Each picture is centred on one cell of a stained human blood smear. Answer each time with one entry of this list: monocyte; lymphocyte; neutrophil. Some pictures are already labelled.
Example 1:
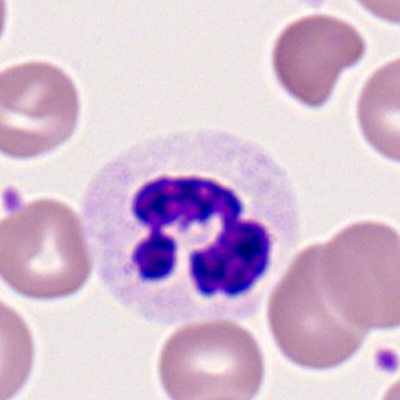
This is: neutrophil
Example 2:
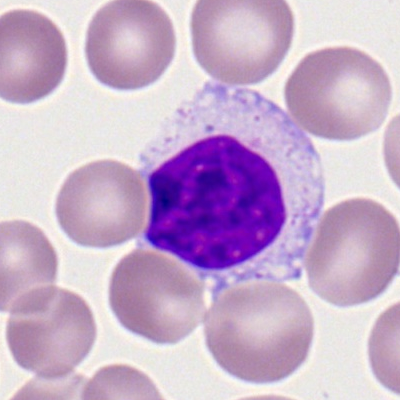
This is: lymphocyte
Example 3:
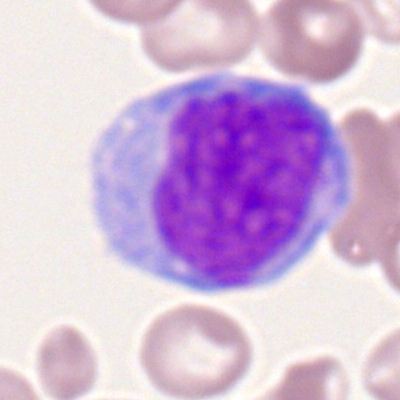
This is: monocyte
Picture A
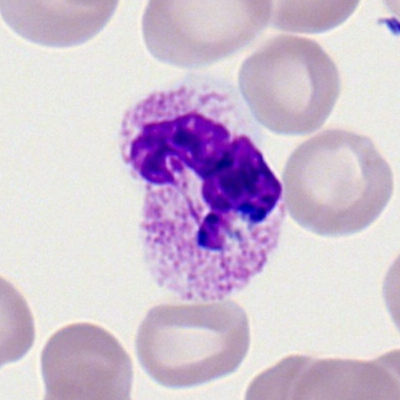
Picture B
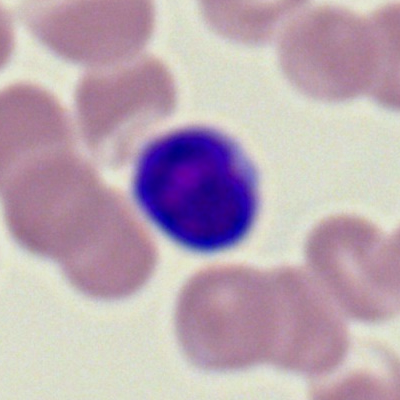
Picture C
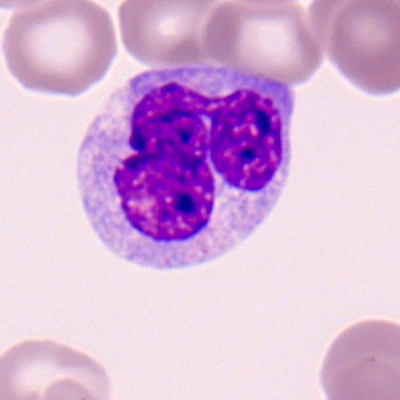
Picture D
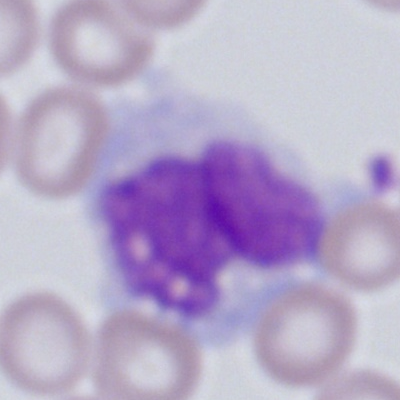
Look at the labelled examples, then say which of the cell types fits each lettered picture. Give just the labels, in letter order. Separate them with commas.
neutrophil, lymphocyte, monocyte, monocyte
